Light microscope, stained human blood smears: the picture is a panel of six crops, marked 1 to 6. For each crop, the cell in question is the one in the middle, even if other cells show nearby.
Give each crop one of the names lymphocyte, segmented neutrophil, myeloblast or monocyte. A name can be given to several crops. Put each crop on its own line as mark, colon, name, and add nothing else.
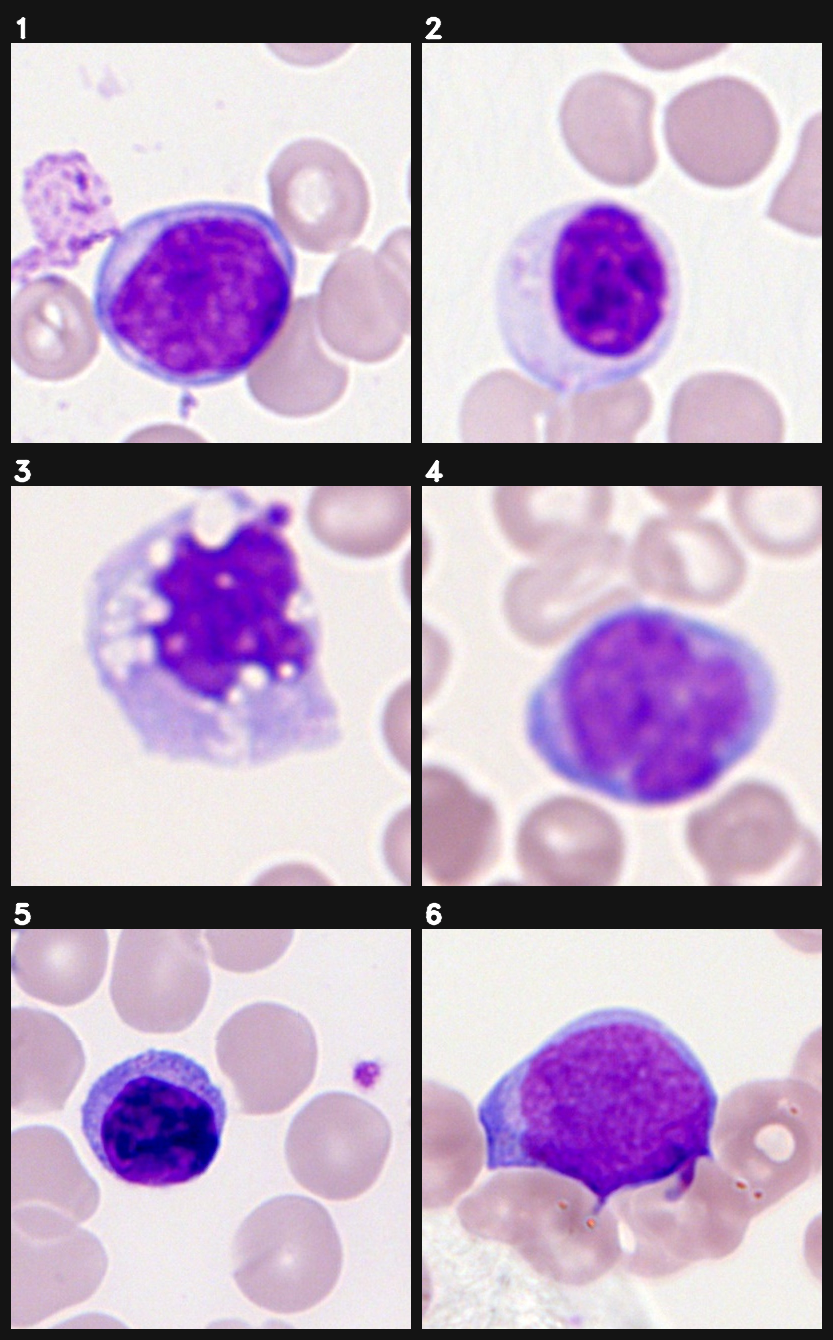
1: myeloblast
2: lymphocyte
3: monocyte
4: monocyte
5: lymphocyte
6: myeloblast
